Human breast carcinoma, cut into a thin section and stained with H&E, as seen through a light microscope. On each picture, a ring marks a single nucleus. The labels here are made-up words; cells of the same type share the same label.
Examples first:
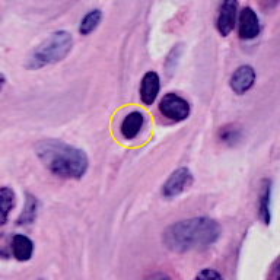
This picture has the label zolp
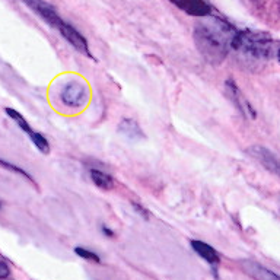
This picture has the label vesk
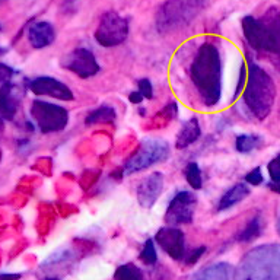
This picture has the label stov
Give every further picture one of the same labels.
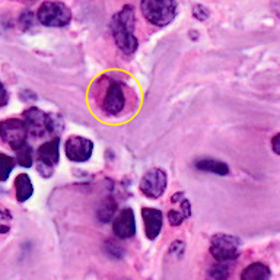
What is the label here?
vesk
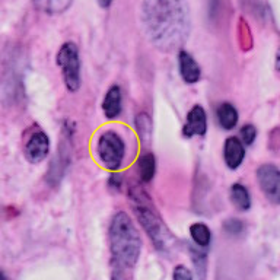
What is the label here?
zolp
